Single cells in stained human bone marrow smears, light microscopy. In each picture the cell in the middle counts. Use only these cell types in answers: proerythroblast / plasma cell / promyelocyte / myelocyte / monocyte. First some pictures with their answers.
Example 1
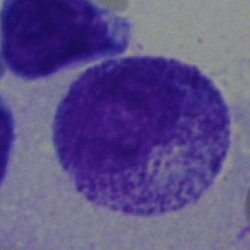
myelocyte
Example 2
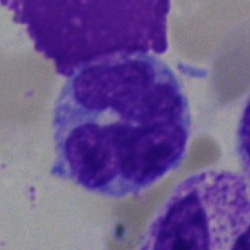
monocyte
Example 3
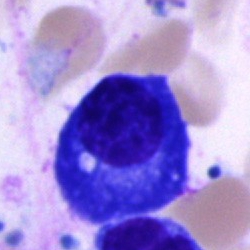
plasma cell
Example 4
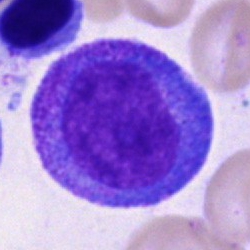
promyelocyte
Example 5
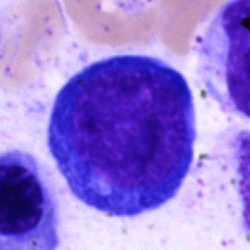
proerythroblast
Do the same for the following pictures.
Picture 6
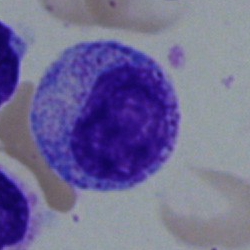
myelocyte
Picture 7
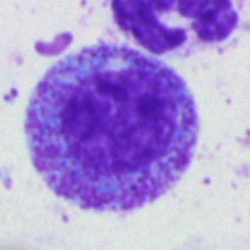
myelocyte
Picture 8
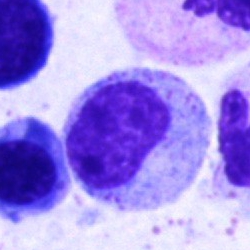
myelocyte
